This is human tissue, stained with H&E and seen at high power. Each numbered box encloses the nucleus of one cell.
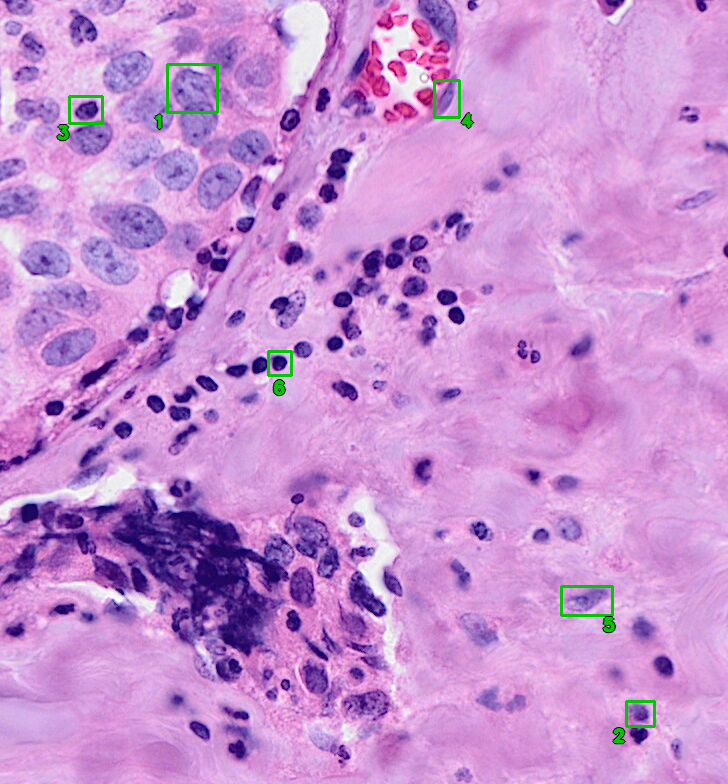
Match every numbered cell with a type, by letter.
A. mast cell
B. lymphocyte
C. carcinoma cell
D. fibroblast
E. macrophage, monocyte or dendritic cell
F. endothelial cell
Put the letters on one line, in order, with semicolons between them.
C; B; B; F; D; B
